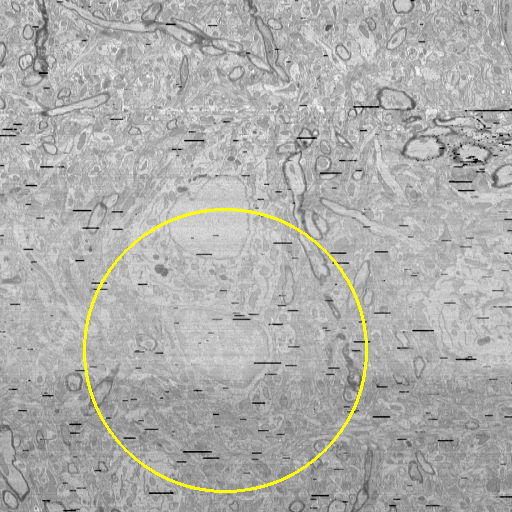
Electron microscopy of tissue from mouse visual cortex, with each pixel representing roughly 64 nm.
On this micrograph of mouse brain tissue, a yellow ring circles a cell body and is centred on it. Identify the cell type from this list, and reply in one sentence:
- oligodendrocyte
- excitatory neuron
The cell at the centre is an oligodendrocyte.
